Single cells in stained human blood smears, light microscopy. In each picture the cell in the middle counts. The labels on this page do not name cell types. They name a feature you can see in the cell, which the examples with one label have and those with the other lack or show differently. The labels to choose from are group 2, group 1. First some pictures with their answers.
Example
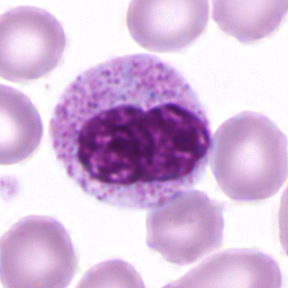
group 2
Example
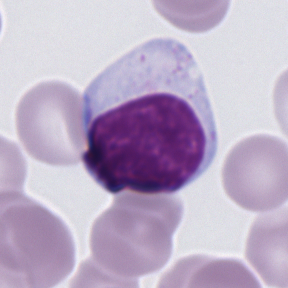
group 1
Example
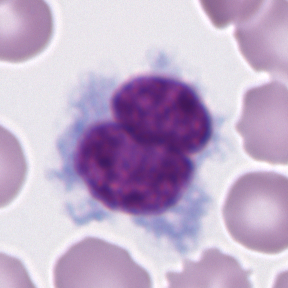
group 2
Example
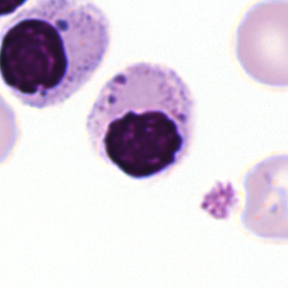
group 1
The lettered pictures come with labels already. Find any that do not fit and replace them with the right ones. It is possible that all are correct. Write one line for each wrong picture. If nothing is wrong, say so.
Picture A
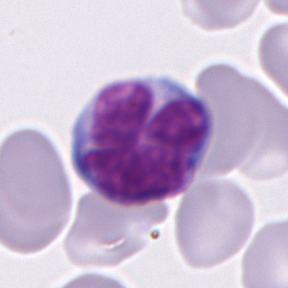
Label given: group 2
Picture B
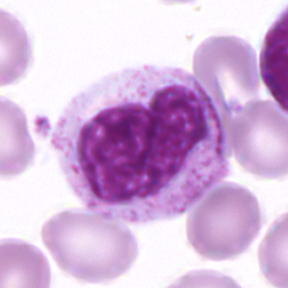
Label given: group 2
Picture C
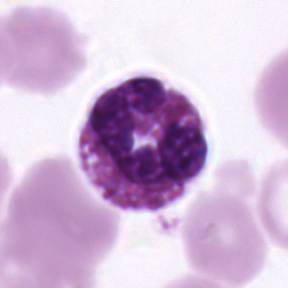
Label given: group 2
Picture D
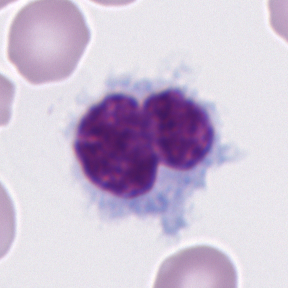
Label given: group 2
None of the labels needs changing.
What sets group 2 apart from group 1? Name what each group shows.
Seen in group 2: lobed nucleus; seen in group 1: single compact nucleus.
